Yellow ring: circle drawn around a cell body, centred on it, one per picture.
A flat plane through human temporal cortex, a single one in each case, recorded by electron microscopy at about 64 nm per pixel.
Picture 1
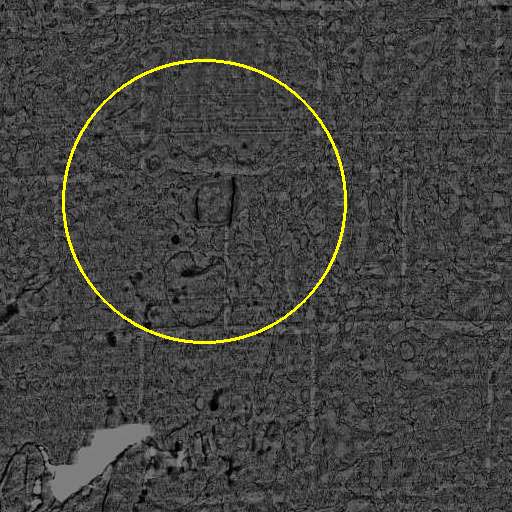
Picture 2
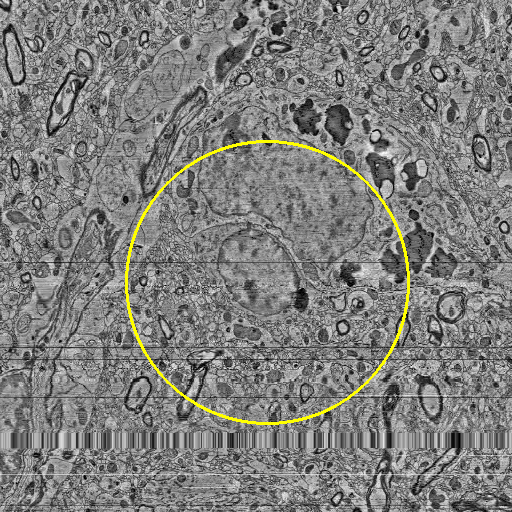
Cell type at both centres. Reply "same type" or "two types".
same type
